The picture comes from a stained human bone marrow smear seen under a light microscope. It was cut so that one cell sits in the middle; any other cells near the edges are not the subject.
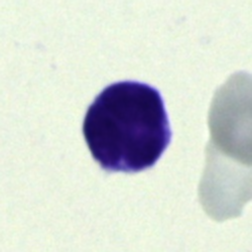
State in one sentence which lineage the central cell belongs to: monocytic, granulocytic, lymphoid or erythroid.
The cell held in the center of the crop belongs to the lymphoid lineage.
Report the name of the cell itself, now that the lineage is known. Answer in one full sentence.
In the middle of this smear crop, the cell is a lymphocyte.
